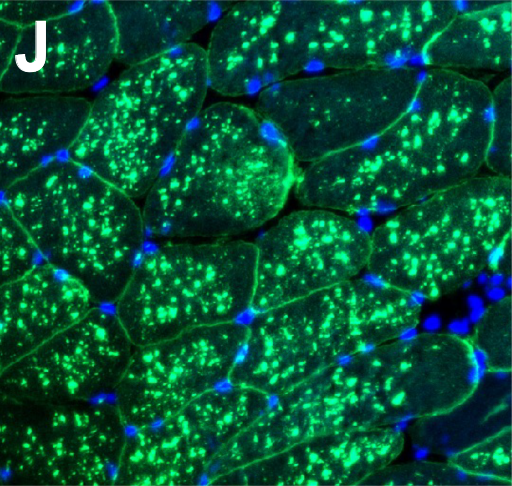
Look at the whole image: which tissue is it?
Skeletal muscle.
